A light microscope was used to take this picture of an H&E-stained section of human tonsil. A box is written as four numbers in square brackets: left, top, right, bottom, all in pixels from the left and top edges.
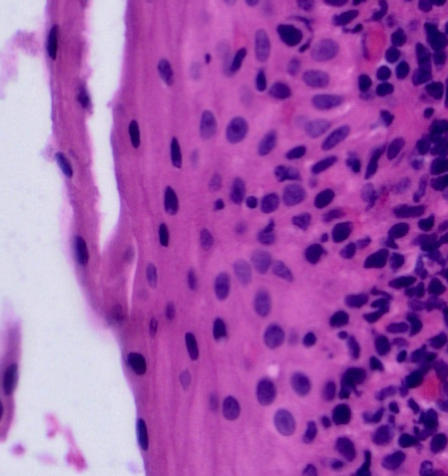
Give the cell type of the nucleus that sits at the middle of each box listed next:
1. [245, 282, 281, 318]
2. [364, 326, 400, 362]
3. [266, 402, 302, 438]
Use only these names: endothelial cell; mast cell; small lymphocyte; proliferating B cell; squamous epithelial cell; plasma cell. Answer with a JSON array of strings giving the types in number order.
["squamous epithelial cell", "plasma cell", "squamous epithelial cell"]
